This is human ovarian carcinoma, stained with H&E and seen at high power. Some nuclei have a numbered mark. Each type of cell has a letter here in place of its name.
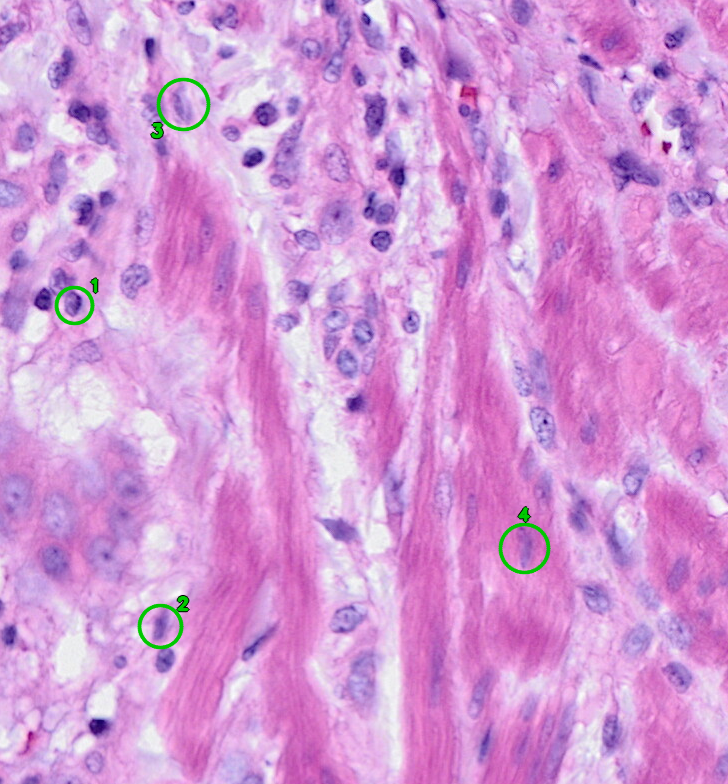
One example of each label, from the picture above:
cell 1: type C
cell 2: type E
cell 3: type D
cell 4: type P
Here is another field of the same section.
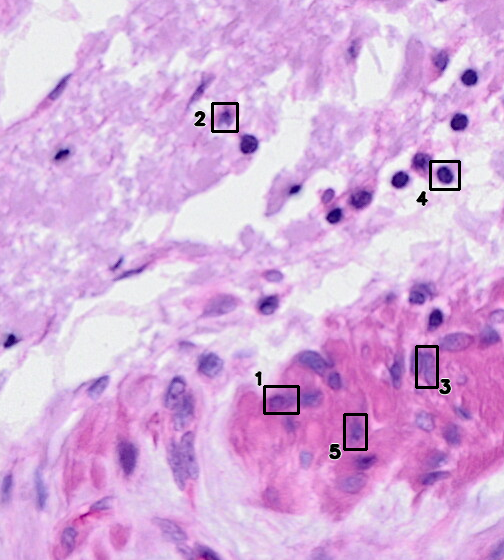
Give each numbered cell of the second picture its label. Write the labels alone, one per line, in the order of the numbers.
type P
type E
type P
type C
type P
